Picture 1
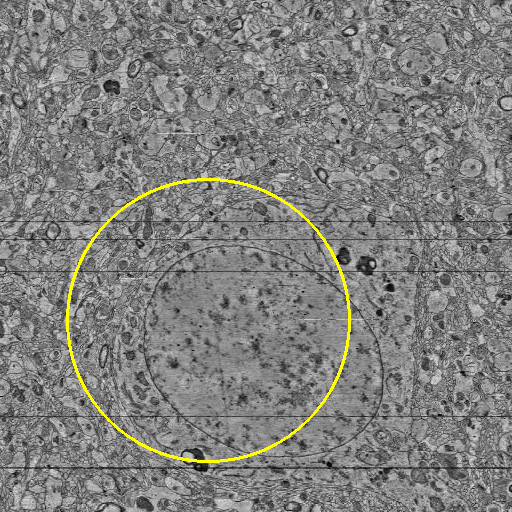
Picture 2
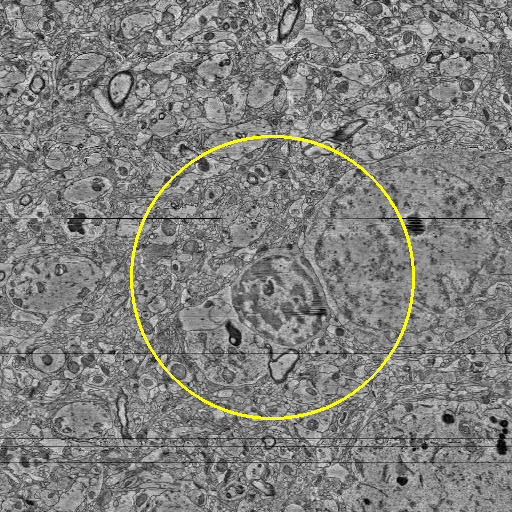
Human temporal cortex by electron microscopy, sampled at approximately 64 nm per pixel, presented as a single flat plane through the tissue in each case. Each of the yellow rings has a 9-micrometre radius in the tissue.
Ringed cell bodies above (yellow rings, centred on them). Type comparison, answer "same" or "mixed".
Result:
mixed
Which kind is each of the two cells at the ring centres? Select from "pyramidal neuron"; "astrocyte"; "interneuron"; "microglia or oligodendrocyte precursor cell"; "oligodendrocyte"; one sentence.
The cell at the centre of the ring is a pyramidal neuron in the first picture and an oligodendrocyte in the second.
